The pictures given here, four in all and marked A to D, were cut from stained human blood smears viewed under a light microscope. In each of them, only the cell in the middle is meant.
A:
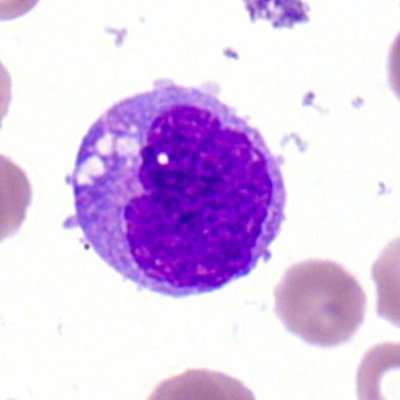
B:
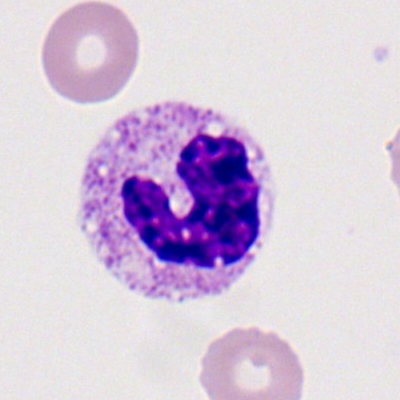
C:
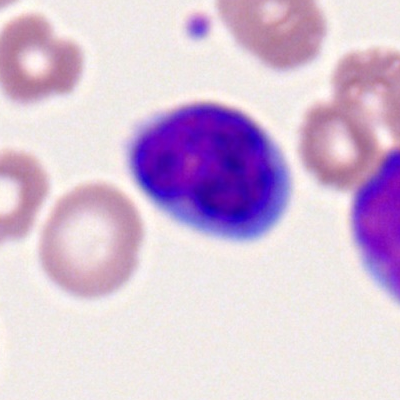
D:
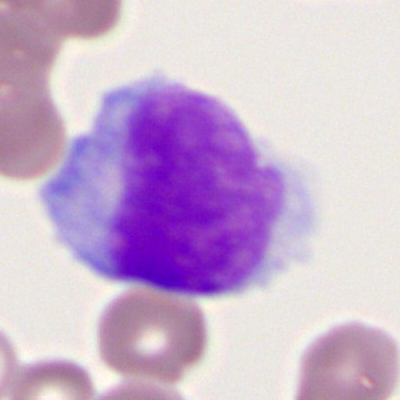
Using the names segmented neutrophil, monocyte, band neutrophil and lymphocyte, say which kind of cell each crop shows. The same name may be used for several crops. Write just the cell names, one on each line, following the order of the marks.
monocyte
band neutrophil
lymphocyte
monocyte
